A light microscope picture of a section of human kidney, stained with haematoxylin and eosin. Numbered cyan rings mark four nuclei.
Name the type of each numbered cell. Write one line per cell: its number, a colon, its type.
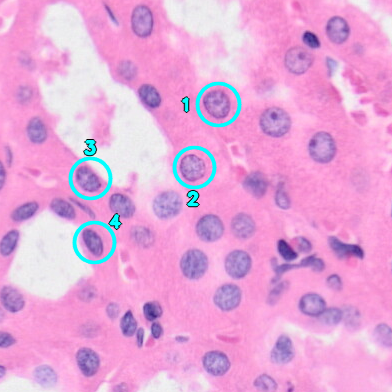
1: proximal tubule cell
2: loop of Henle or distal tubule cell
3: loop of Henle or distal tubule cell
4: loop of Henle or distal tubule cell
